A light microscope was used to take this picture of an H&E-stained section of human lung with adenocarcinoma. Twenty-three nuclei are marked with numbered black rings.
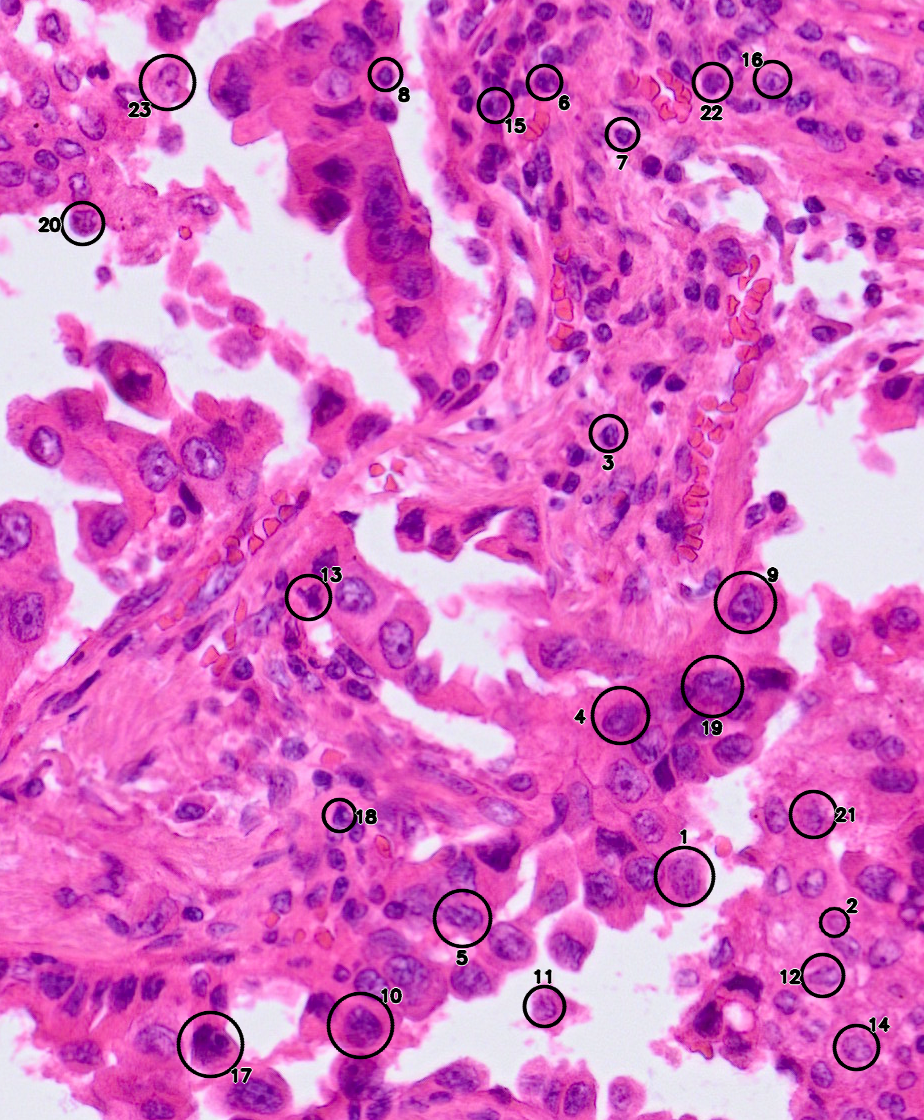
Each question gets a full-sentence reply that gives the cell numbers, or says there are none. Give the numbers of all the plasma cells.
Cells 16 and 22 share one type; they are plasma cells.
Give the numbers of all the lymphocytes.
Classified as lymphocytes are the cells numbered 3, 6, 7, 8, 15 and 18.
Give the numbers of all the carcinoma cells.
The cells labelled 1, 4, 5, 9, 10, 13, 17 and 19 in this section are carcinoma cells.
